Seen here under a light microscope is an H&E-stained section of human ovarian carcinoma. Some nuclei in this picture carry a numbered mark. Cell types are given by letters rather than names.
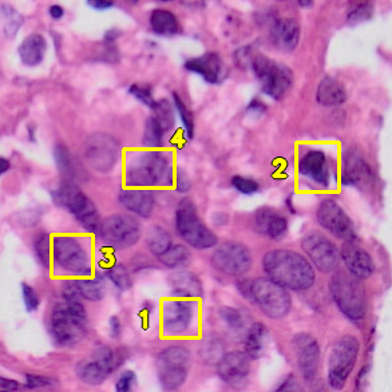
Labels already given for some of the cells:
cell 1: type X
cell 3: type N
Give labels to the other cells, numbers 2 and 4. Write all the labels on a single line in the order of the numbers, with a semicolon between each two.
type N; type N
